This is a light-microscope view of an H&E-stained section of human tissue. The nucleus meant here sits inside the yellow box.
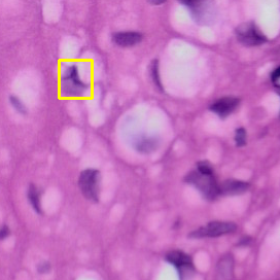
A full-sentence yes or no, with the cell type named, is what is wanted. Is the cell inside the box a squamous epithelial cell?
Yes, the claim that the cell inside the box is a squamous epithelial cell holds true.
